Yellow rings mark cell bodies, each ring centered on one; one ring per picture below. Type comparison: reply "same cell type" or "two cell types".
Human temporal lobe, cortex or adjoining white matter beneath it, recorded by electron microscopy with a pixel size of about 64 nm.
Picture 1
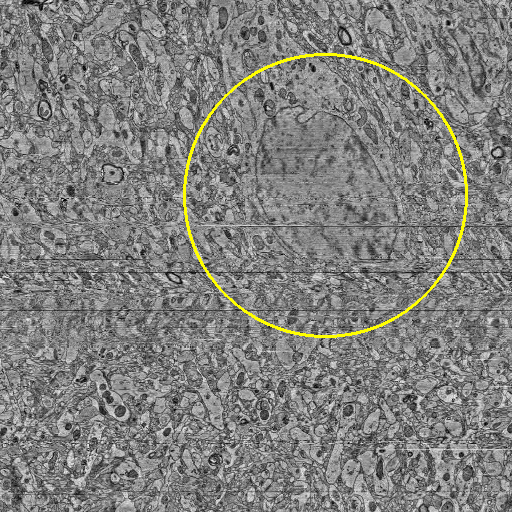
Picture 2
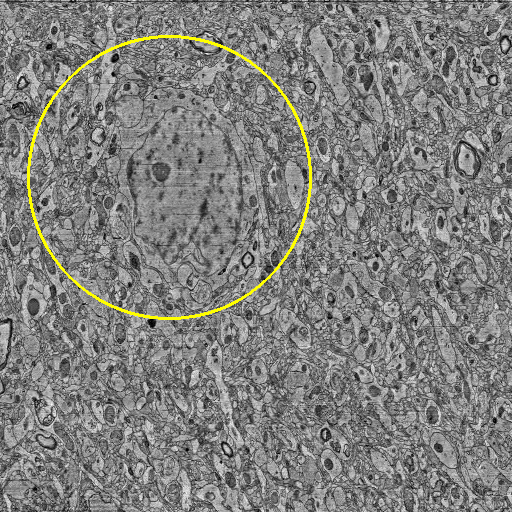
same cell type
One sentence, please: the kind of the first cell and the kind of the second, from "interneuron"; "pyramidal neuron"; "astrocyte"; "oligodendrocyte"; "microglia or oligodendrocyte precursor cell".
Both pictures show an interneuron at the centre of the ring.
